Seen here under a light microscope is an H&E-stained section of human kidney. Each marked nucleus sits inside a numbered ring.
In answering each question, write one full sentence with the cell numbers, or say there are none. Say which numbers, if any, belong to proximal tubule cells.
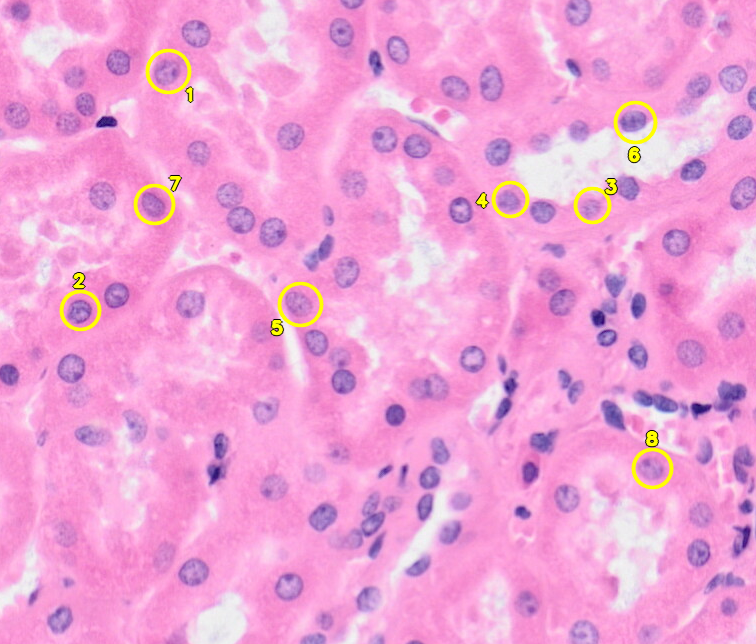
The cells marked 1, 2, 5, 7 and 8 in the section are proximal tubule cells.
